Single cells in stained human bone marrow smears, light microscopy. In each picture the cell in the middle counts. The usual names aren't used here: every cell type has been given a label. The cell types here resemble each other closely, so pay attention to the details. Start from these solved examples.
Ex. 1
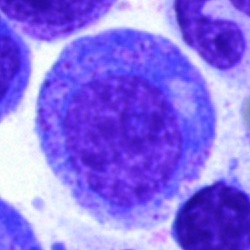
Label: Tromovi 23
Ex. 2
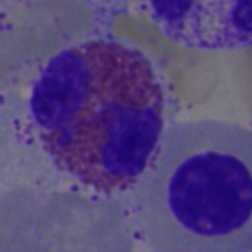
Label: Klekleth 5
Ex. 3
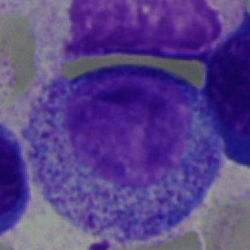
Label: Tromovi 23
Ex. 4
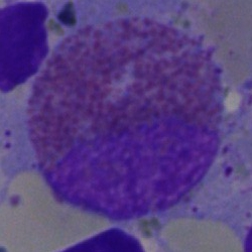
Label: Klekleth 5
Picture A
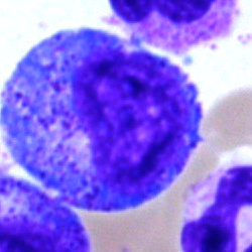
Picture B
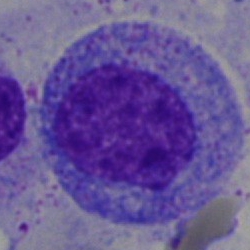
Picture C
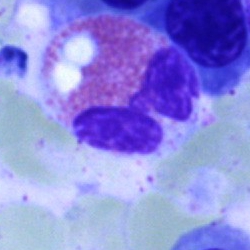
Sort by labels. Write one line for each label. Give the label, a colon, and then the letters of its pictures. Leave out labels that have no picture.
Tromovi 23: A, B
Klekleth 5: C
